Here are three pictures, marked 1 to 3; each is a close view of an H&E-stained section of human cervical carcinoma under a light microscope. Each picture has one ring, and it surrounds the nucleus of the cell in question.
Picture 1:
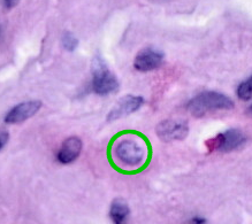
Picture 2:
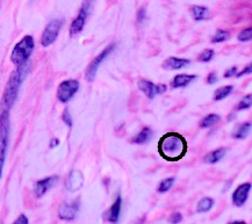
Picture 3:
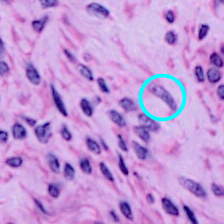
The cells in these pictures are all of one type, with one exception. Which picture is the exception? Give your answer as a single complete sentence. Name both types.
All pictures except 1 show smooth muscle cells; picture 1 shows an endothelial cell.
